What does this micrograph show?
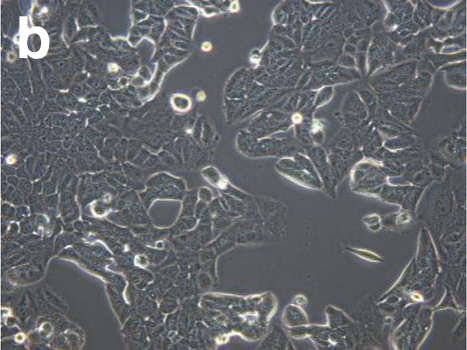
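Cultured epithelial cells grow here as compact islands of polygonal cells pressed tightly against one another. Within each island the cells form a cobblestone-like sheet with little space between neighbours. Bright phase halos outline the free edges of the islands. A few rounded, strongly refractile cells sit on top of the sheets. Broad stretches of empty substrate separate the islands. This close, sheet-forming growth is typical of epithelial cells in culture.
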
